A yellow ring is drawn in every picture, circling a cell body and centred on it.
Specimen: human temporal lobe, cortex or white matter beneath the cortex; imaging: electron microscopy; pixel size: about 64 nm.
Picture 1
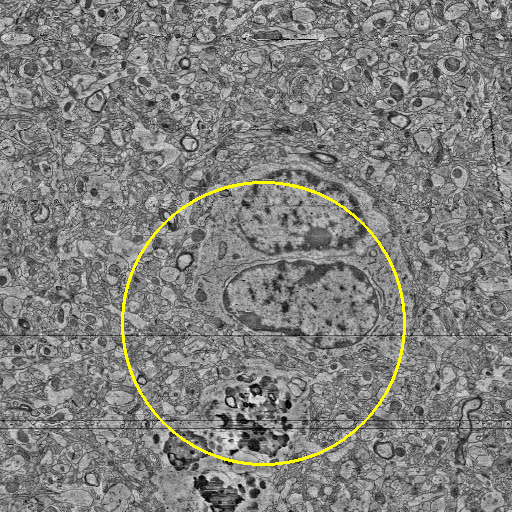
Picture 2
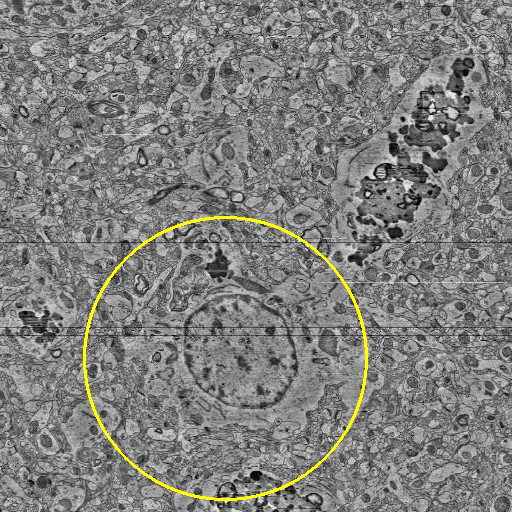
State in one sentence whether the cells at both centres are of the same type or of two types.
The cells at the two ring centres, one per picture, are of two types.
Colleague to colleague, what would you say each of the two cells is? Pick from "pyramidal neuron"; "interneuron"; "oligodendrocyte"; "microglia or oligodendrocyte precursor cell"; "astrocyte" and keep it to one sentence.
The cell in the first picture is a microglial cell or oligodendrocyte precursor cell; the second picture's cell is an astrocyte.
